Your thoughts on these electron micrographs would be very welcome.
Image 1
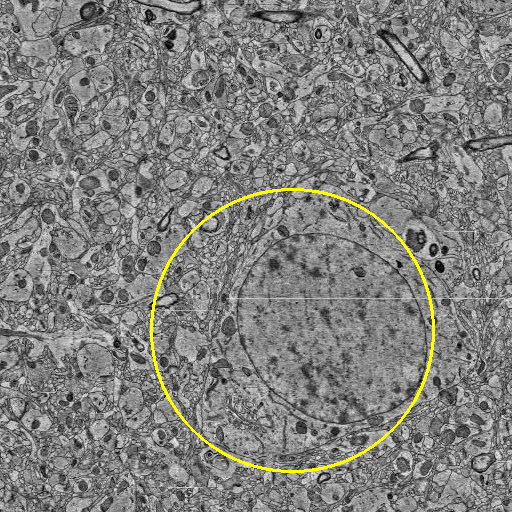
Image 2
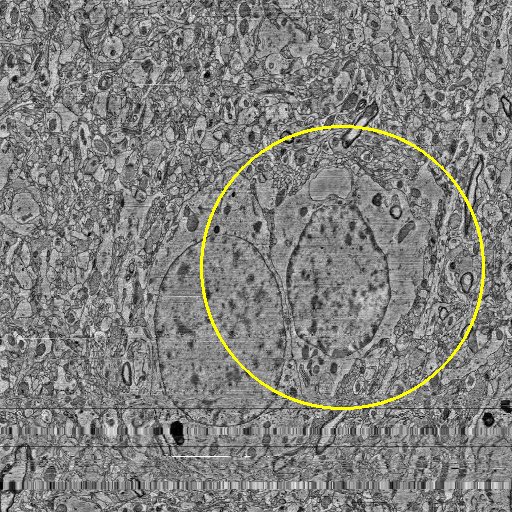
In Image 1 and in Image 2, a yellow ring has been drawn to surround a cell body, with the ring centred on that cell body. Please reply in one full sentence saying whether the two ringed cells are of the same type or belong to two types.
The ringed cells in Image 1 and Image 2 belong to two types.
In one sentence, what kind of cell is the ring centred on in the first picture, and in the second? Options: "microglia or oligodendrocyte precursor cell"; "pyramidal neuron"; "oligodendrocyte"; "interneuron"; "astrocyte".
The cell at the centre of the second ring is an astrocyte; the first ring's cell is a pyramidal neuron.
